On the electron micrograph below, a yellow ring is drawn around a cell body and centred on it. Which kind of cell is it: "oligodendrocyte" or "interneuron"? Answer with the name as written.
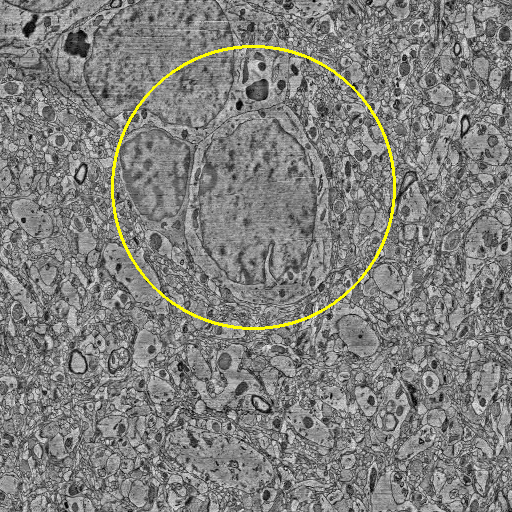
interneuron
